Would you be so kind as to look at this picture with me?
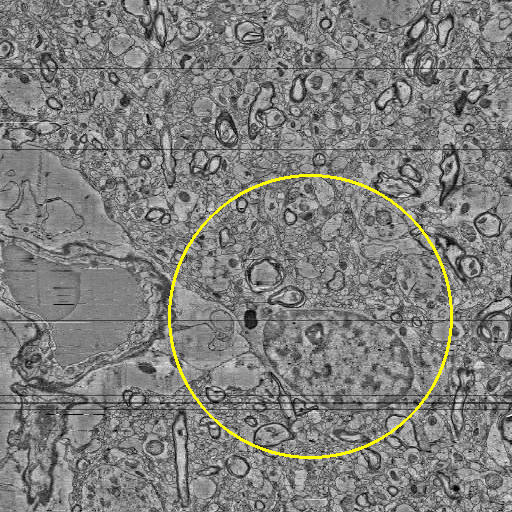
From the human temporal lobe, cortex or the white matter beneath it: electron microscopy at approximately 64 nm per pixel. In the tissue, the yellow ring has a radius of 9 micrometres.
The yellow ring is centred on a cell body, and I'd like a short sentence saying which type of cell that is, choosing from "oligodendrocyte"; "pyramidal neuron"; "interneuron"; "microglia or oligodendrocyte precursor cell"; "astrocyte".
The cell body in the ring belongs to an oligodendrocyte.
